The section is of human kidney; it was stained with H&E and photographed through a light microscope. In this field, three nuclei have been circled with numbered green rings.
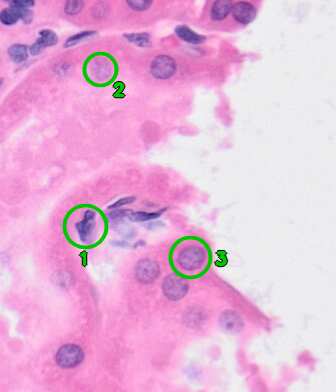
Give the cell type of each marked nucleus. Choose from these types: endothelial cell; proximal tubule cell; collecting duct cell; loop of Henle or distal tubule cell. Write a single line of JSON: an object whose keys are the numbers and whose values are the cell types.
{"1": "endothelial cell", "2": "proximal tubule cell", "3": "proximal tubule cell"}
